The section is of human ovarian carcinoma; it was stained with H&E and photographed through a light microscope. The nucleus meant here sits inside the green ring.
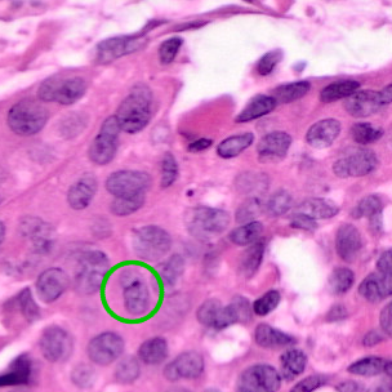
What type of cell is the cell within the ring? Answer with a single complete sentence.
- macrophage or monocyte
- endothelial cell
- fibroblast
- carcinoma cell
The category to which the cell within the ring belongs is that of a carcinoma cell.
